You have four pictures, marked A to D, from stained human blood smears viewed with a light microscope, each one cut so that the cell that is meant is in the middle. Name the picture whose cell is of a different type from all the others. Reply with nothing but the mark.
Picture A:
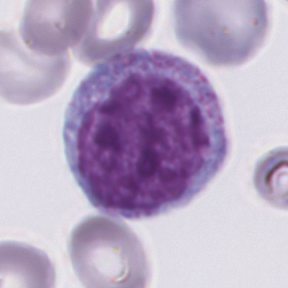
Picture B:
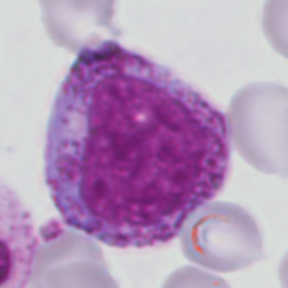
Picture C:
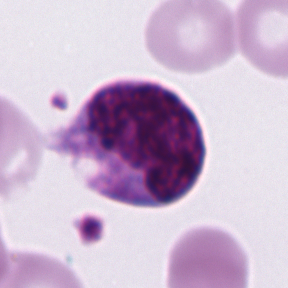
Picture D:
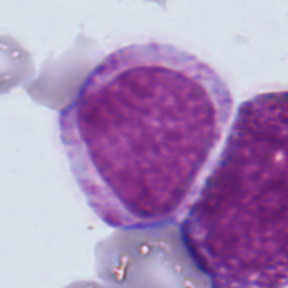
C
